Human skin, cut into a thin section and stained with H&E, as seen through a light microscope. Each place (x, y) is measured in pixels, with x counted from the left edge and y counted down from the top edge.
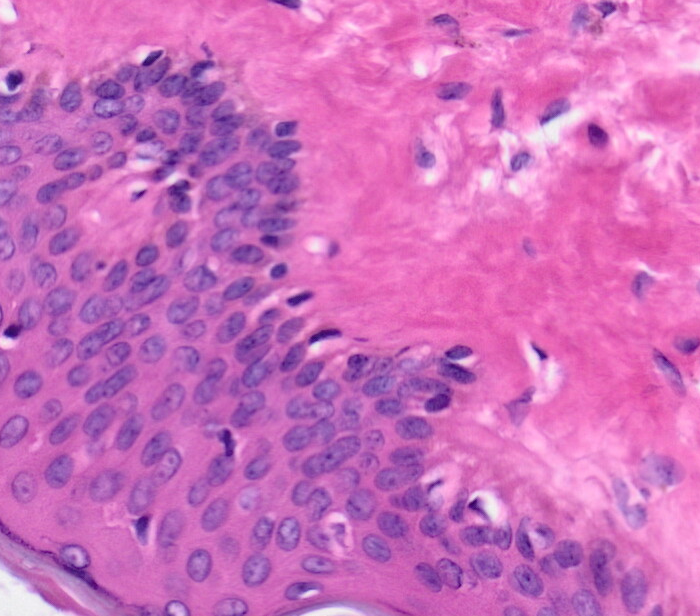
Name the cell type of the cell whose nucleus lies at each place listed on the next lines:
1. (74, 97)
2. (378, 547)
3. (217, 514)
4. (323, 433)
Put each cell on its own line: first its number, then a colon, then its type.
1: basal keratinocyte
2: suprabasal keratinocyte
3: suprabasal keratinocyte
4: suprabasal keratinocyte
